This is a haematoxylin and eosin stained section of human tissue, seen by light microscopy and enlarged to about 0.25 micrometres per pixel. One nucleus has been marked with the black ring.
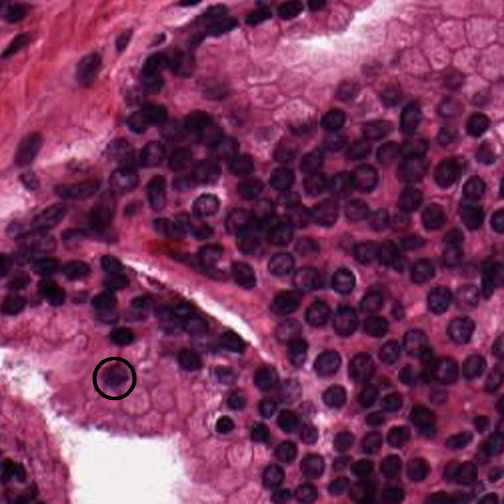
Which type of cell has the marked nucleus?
prostate gland luminal cell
